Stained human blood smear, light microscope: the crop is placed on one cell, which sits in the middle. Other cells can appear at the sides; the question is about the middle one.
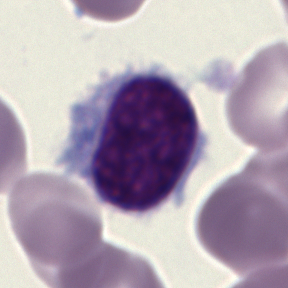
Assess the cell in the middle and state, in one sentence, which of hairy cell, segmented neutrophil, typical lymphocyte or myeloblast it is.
Standing at the centre of this crop is a hairy cell.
